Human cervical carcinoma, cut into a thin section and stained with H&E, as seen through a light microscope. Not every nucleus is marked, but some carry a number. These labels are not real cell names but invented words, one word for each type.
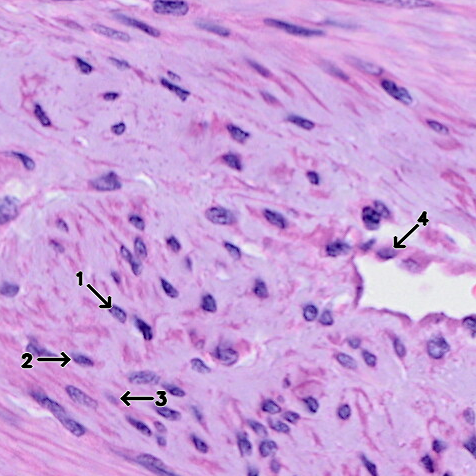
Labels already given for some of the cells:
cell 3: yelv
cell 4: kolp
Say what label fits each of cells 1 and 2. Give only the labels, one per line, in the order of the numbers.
yelv
yelv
